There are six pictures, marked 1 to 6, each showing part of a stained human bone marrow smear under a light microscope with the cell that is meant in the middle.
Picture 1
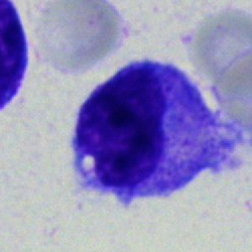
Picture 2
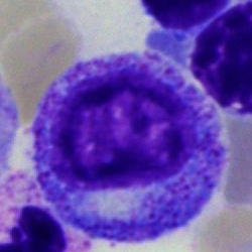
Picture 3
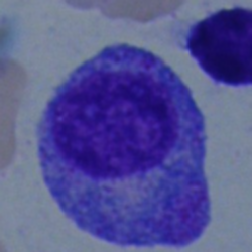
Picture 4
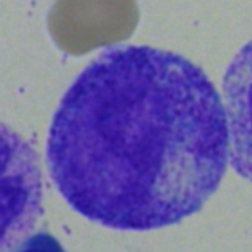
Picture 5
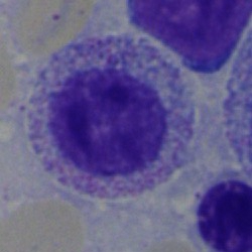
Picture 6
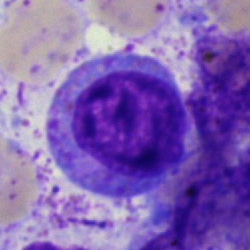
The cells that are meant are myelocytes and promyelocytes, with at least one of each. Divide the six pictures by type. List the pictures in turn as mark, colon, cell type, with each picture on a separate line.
1: myelocyte
2: promyelocyte
3: promyelocyte
4: promyelocyte
5: myelocyte
6: promyelocyte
